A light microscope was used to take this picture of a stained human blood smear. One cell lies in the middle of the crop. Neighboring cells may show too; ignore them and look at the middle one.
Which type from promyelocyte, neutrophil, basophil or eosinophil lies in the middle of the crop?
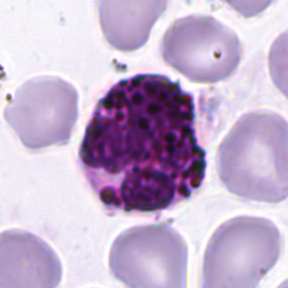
basophil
